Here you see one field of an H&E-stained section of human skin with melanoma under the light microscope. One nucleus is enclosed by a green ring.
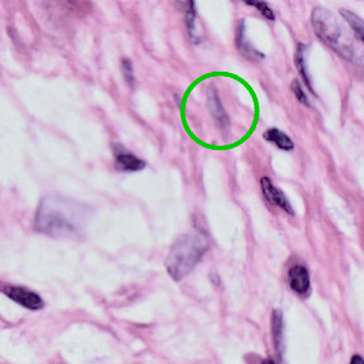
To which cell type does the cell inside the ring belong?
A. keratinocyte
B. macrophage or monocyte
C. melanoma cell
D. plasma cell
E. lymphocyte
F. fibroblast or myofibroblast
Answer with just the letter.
F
